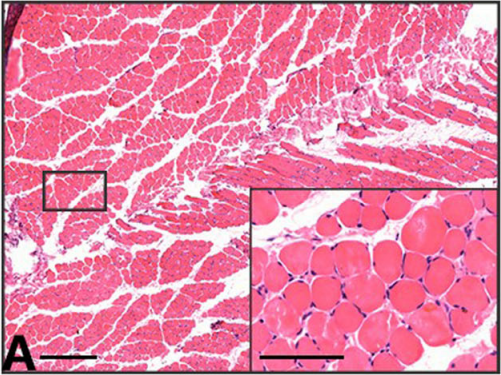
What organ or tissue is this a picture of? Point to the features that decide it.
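Polygonal eosin-pink fibers in cross-section packed into bundles. Small flat nuclei sit at the edges of the fibers. The answer: skeletal muscles.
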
